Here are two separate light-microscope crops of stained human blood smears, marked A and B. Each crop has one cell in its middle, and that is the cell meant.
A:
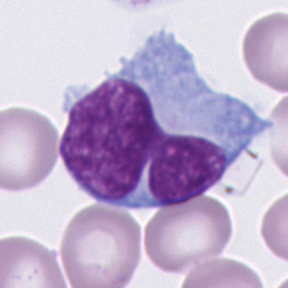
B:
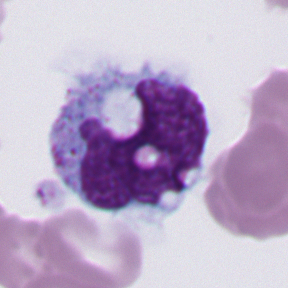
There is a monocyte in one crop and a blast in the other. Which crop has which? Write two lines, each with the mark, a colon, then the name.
A: blast
B: monocyte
